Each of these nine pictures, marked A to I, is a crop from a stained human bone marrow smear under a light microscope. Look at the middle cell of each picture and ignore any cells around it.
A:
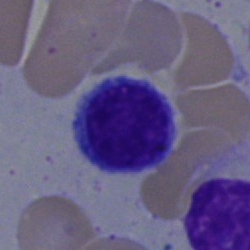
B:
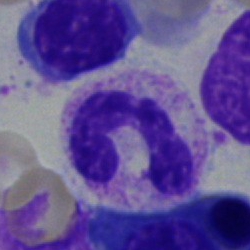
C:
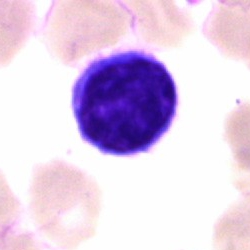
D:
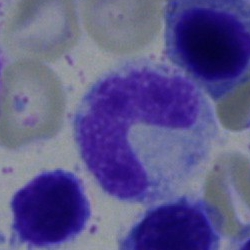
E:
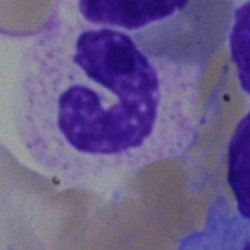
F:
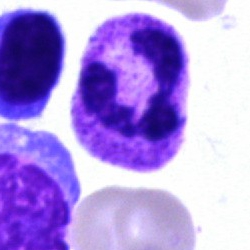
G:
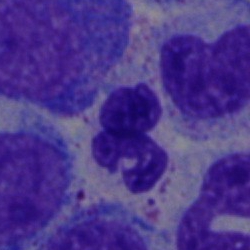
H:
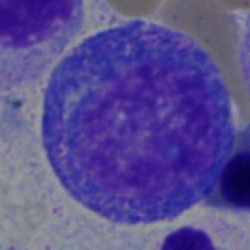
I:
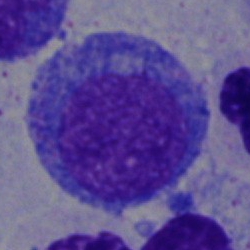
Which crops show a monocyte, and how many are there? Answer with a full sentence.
The number is zero; not one of the crops shows monocytes.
